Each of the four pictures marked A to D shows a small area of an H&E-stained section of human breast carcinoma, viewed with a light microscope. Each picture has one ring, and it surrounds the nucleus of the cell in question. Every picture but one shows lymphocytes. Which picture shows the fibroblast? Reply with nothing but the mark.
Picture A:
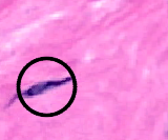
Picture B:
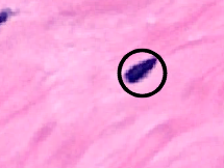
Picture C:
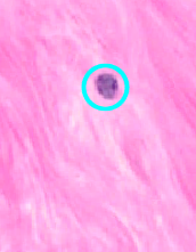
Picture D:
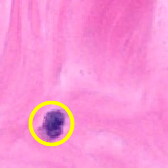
A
